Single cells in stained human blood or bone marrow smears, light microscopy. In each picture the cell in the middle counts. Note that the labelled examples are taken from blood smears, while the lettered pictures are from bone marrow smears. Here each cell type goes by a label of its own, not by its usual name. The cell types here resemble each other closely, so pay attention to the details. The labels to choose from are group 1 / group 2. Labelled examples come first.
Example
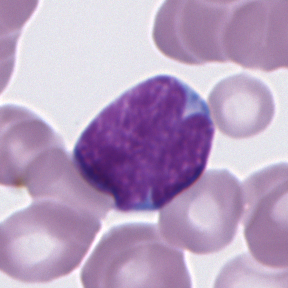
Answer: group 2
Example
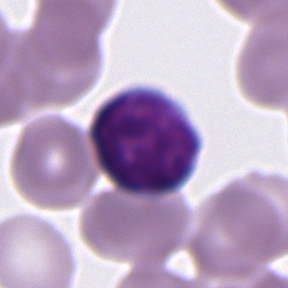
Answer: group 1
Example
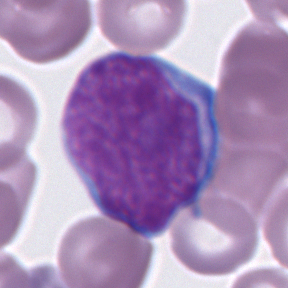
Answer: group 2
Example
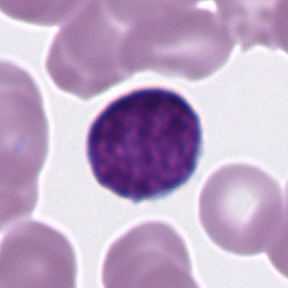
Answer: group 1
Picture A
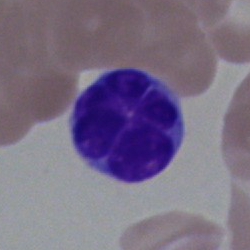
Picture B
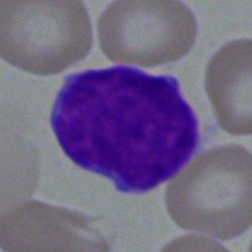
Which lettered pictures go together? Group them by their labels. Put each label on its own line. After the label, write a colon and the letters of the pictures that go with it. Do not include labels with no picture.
group 1: A
group 2: B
